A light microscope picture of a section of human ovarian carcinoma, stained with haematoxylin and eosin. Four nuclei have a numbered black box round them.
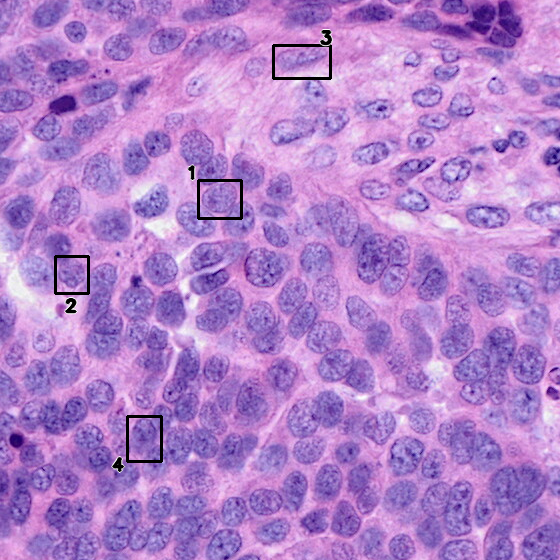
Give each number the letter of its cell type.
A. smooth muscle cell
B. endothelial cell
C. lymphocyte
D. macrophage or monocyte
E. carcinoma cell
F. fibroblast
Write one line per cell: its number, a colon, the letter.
1: E
2: E
3: F
4: E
